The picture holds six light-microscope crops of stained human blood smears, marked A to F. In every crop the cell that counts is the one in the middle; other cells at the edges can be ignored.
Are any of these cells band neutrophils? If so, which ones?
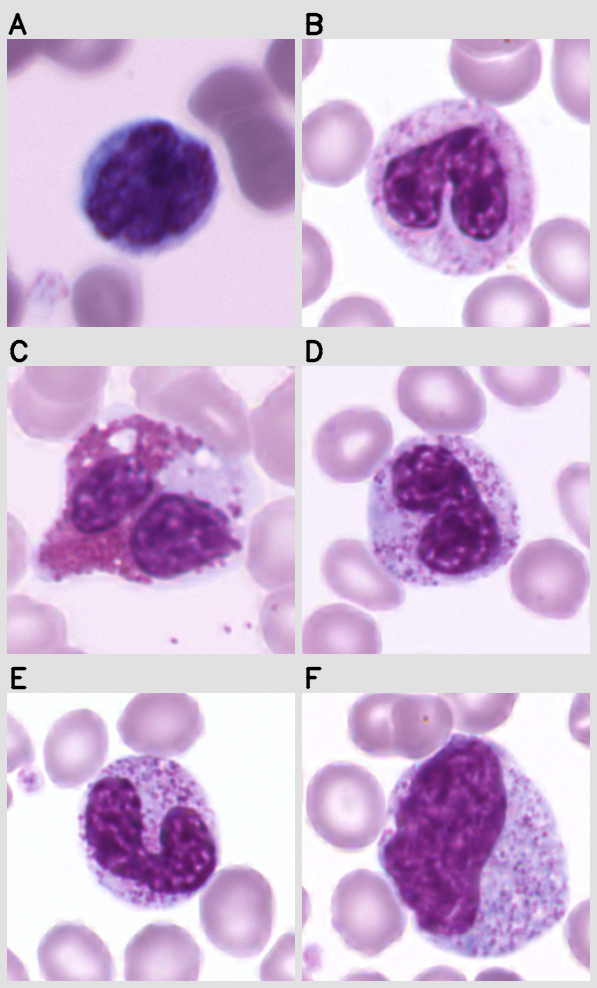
B, D, E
